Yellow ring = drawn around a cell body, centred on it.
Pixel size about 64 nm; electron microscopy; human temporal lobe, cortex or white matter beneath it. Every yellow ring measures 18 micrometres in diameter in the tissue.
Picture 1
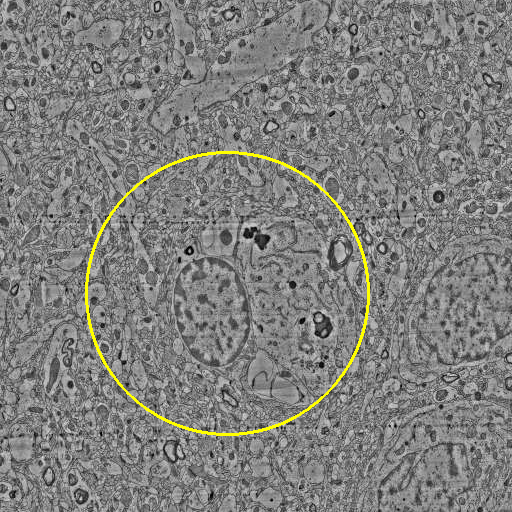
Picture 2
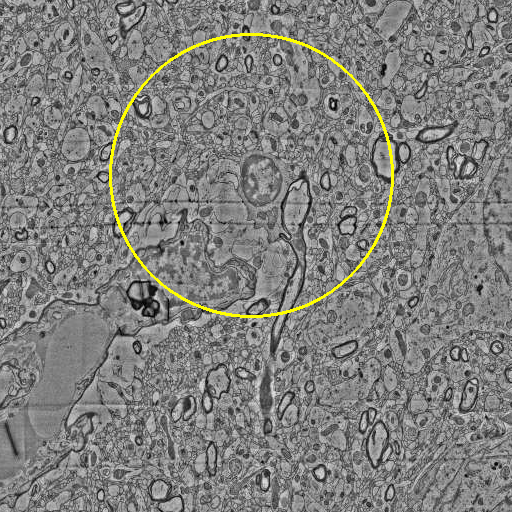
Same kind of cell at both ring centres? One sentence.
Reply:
No, they are two kinds of cell.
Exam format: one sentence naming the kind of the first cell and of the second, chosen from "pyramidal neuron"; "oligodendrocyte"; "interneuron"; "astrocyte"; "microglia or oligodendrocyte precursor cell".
The first picture's cell is a microglial cell or oligodendrocyte precursor cell, and the second picture's cell is an oligodendrocyte.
